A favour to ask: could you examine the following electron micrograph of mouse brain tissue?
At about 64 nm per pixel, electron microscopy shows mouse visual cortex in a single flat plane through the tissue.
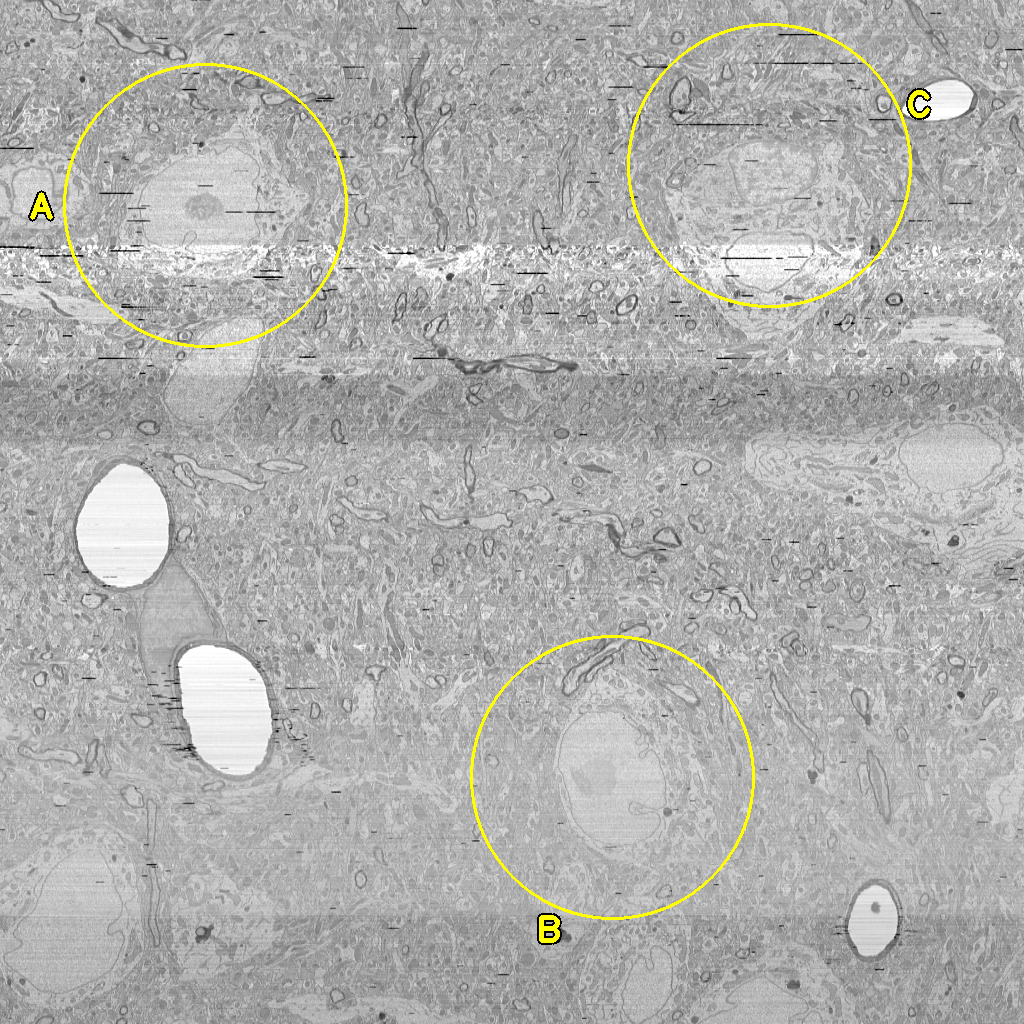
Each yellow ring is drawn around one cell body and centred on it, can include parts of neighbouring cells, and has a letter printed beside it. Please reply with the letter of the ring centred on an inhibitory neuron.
B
